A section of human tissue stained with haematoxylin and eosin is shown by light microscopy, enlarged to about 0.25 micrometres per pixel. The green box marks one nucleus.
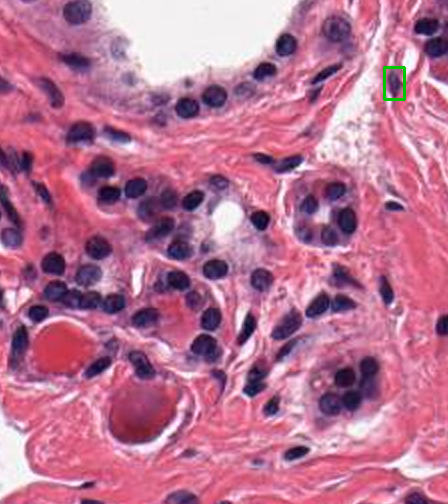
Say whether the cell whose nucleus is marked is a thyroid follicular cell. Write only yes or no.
no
